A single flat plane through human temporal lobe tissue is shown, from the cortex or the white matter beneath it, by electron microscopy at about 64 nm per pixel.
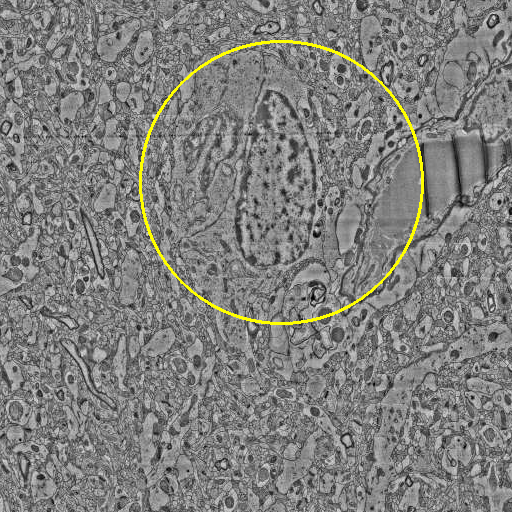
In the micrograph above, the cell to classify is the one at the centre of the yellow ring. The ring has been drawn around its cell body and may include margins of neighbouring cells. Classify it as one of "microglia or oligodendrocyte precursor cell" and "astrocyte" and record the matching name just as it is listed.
microglia or oligodendrocyte precursor cell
